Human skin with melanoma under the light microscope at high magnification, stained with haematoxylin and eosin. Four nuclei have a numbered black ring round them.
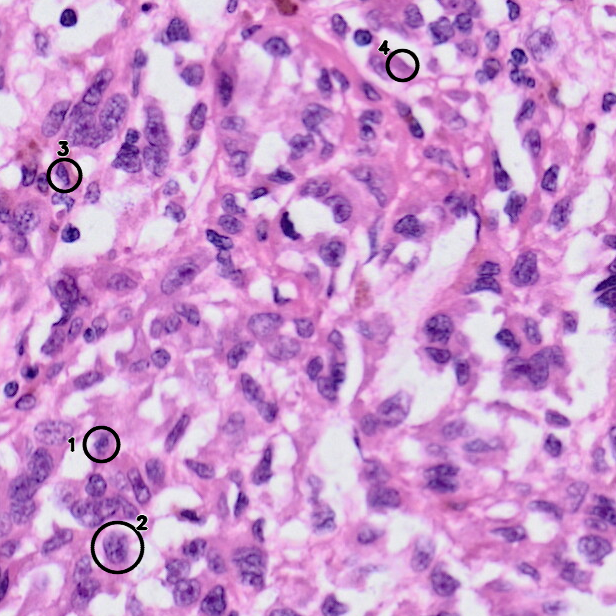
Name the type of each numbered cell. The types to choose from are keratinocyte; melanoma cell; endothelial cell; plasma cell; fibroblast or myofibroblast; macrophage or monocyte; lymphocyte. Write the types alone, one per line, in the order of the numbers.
melanoma cell
melanoma cell
macrophage or monocyte
melanoma cell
